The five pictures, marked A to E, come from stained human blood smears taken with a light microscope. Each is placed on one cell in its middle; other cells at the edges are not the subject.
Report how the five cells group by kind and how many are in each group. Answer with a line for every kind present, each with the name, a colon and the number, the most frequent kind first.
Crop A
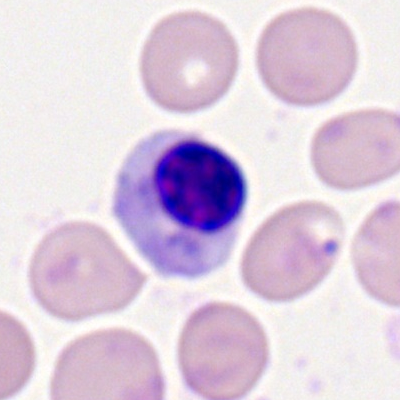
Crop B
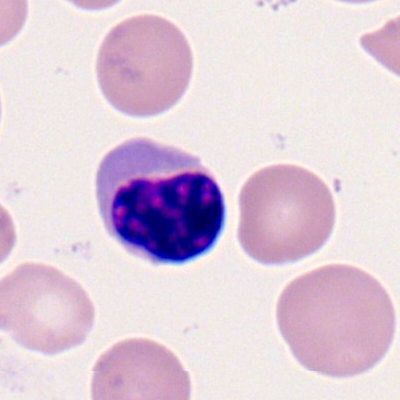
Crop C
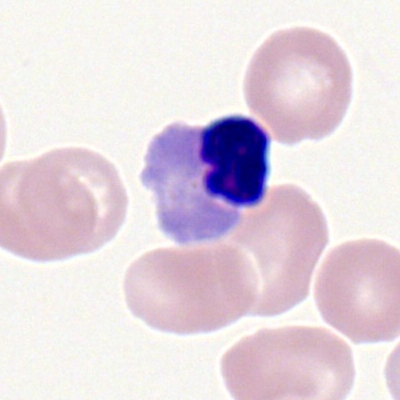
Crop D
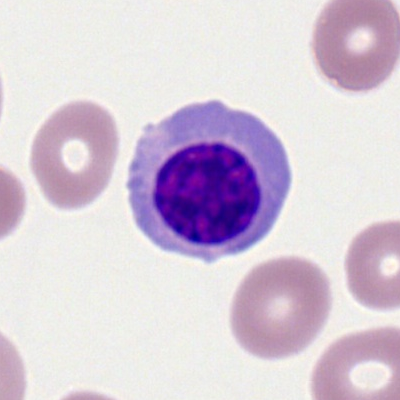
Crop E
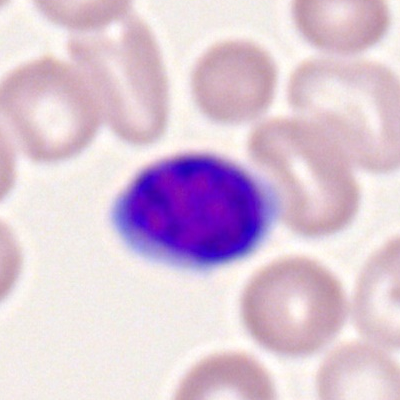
normoblast: 4
lymphocyte: 1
